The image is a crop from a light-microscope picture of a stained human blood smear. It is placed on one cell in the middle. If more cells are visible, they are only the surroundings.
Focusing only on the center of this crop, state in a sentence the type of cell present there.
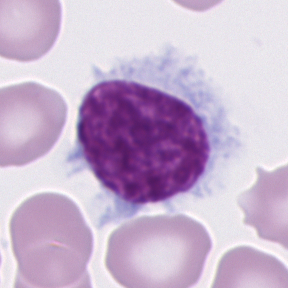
The cell of interest, in the center, is a hairy cell.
